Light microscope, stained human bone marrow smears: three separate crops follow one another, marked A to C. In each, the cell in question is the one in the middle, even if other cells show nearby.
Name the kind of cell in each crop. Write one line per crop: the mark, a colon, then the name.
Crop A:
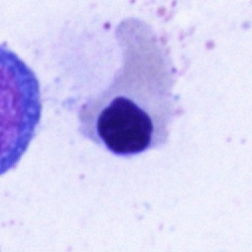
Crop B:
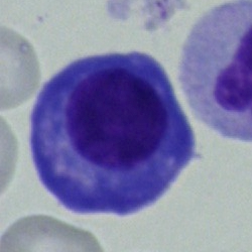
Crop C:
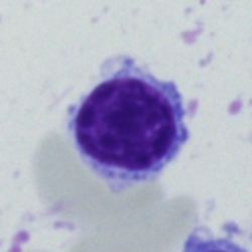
A: erythroblast
B: plasma cell
C: lymphocyte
